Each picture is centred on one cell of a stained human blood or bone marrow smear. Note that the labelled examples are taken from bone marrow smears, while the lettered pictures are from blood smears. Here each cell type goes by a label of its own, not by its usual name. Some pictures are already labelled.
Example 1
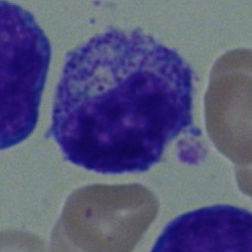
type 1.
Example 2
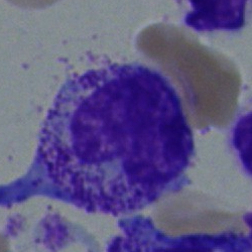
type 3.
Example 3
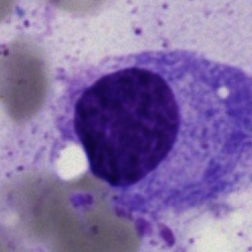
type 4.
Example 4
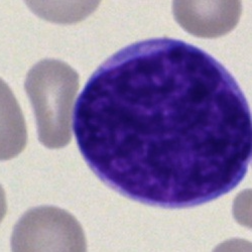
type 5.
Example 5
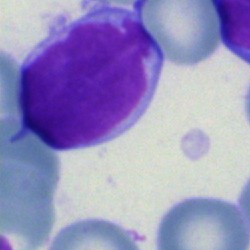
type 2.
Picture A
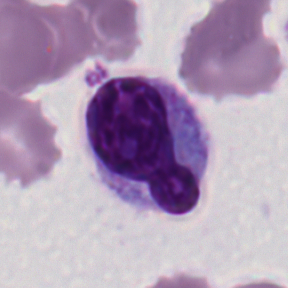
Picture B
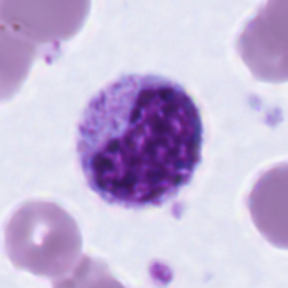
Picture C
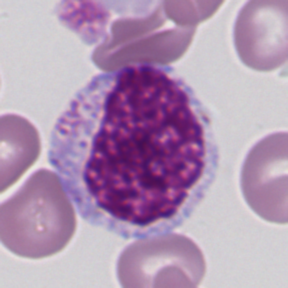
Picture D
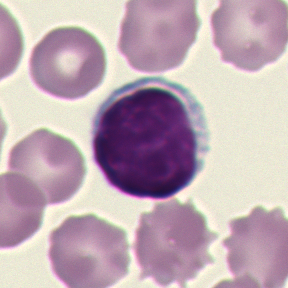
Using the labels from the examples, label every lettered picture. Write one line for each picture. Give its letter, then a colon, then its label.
A: type 4.
B: type 3.
C: type 1.
D: type 2.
